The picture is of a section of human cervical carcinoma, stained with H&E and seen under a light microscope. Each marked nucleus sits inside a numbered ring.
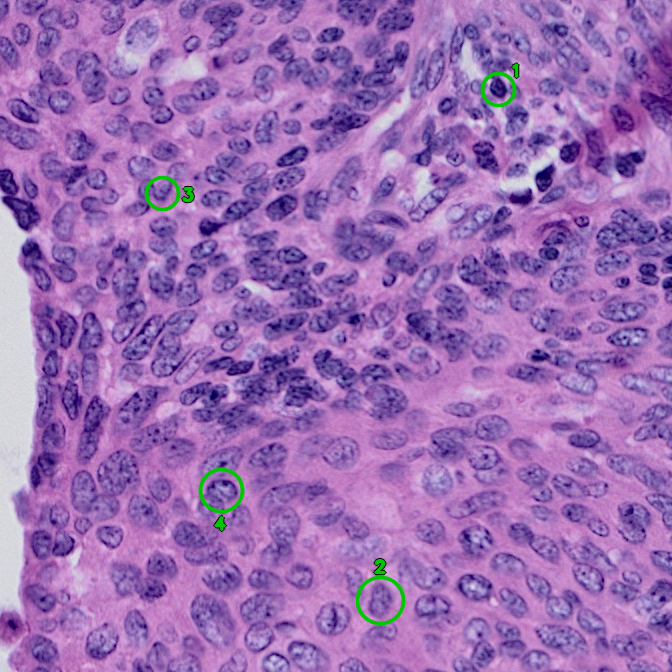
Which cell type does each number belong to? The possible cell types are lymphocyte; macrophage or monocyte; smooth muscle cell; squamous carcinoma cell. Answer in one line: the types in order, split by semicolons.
lymphocyte; squamous carcinoma cell; squamous carcinoma cell; squamous carcinoma cell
